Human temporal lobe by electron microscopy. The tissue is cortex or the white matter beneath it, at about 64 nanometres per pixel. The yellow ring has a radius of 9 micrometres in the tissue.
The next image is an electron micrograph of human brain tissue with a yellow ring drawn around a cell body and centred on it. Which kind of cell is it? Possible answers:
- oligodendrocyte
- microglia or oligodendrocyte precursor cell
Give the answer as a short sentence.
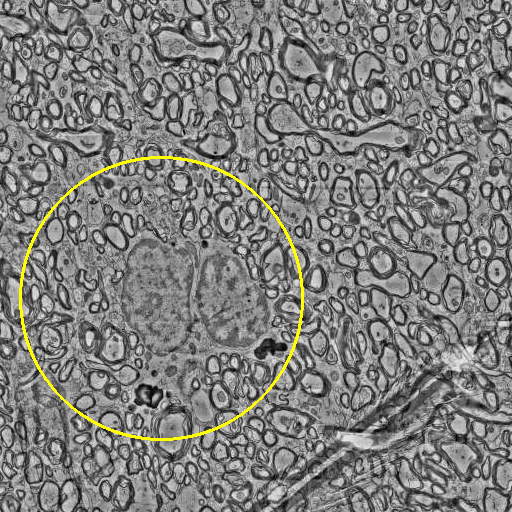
In the ring's centre is an oligodendrocyte.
